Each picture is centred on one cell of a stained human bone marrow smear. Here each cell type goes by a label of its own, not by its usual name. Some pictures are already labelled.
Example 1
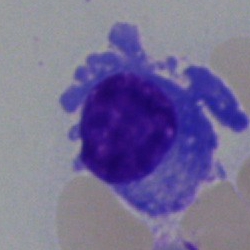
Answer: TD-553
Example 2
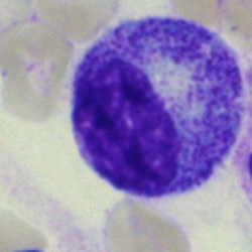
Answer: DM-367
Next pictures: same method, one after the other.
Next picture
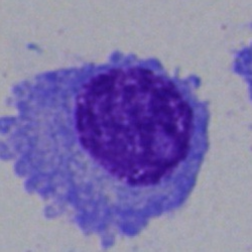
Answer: TD-553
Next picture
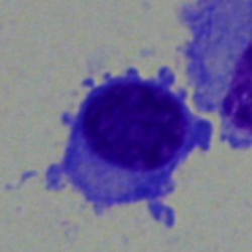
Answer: TD-553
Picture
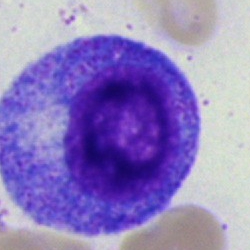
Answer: DM-367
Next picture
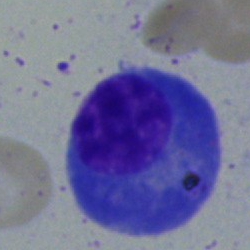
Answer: TD-553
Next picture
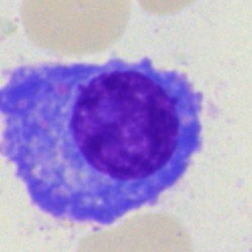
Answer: TD-553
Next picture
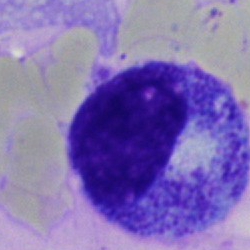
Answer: DM-367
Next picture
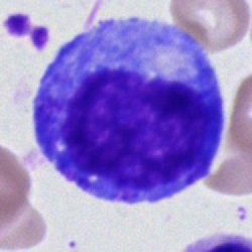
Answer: DM-367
